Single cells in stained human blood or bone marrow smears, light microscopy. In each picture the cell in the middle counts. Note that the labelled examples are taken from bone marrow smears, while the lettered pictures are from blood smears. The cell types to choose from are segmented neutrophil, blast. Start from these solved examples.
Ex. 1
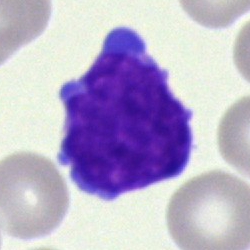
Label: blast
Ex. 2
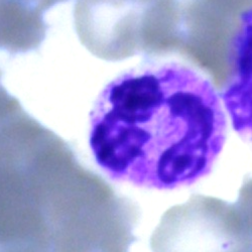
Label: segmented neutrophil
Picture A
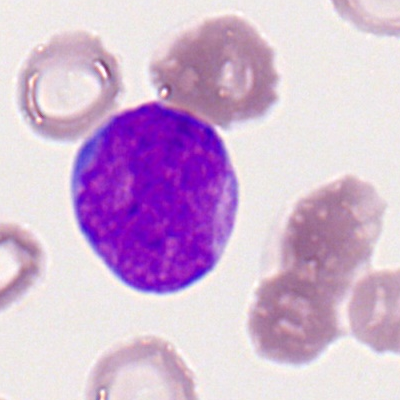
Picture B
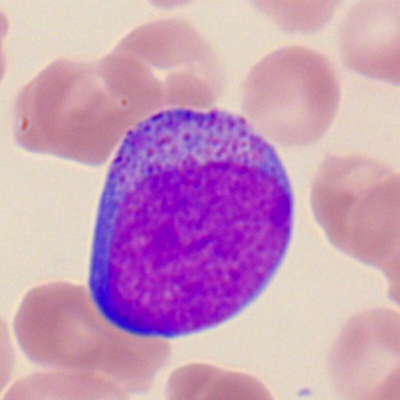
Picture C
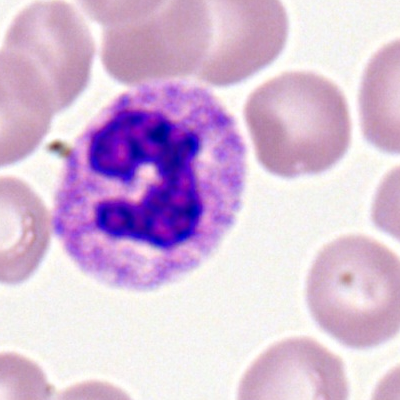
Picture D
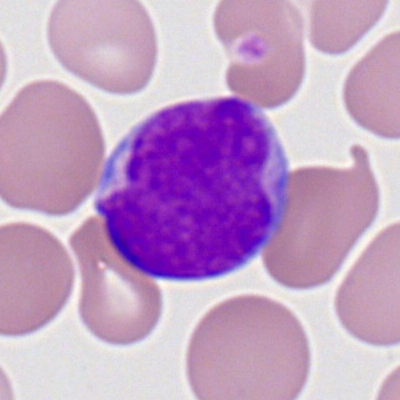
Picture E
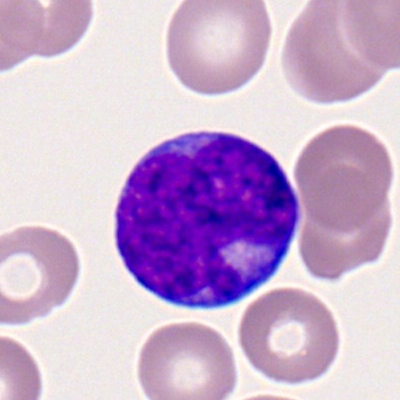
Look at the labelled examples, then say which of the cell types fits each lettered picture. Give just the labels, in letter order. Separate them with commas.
blast, blast, segmented neutrophil, blast, blast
